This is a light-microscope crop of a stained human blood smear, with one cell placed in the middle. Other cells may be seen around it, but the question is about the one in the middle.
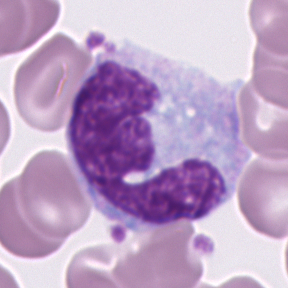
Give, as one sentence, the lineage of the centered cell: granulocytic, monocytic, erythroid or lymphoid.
Lineage-wise, the cell in the center of the crop is monocytic.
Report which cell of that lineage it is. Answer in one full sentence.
The centrally positioned cell in the crop represents a monocyte.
